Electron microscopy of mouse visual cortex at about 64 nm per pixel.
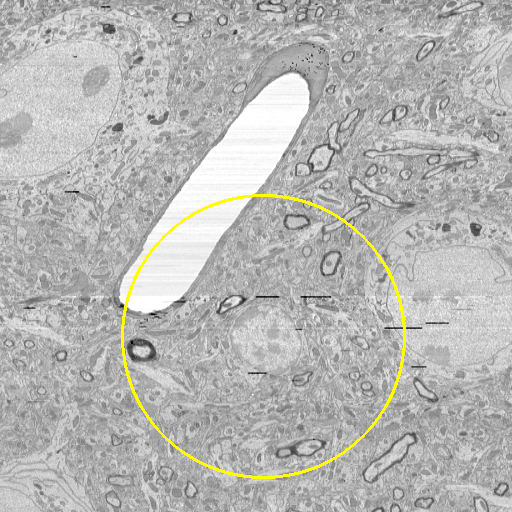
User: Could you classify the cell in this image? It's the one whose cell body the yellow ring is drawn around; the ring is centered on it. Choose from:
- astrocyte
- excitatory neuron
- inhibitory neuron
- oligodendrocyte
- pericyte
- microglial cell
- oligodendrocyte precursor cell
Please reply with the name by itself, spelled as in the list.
oligodendrocyte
